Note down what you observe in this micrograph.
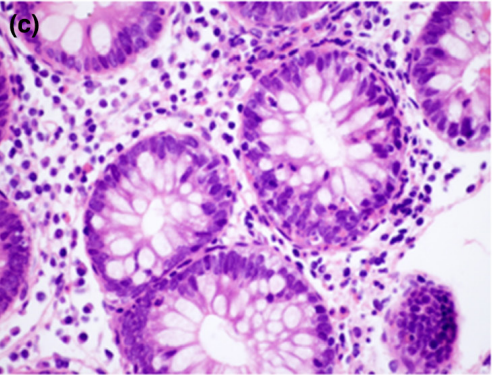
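Here colonic mucosa is cut across, so the crypts appear as round rings. Each ring is a single layer of columnar epithelium with many goblet cells, their pale mucin spaces radiating like spokes toward a small central lumen, and their purple nuclei lined up at the outer, basal edge. The crypts are separated by lamina propria crowded with small round cells with dark nuclei and some pink cytoplasm, scattered within loose pink stroma. At the lower right edge a small, dense cluster of dark cells is seen.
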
